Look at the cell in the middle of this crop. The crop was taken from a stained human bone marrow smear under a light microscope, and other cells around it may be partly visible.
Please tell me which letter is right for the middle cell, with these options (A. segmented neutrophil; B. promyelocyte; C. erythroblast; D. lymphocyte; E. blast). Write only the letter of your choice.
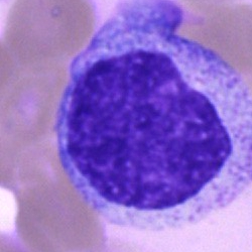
B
